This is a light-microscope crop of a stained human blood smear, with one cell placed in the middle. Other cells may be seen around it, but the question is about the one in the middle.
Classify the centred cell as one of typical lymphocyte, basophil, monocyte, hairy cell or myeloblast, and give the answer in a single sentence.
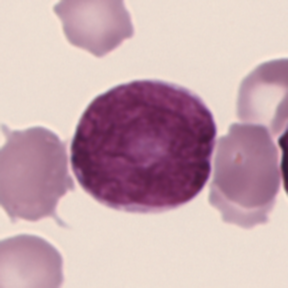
Looking at the middle of the crop, the cell there is a myeloblast.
